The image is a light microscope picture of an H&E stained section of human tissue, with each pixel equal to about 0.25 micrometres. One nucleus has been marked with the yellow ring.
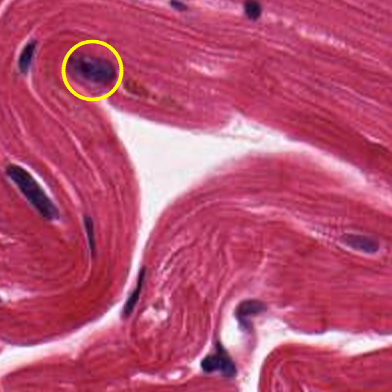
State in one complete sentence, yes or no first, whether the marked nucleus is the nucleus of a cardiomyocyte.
Yes, the marked nucleus is in a cardiomyocyte.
